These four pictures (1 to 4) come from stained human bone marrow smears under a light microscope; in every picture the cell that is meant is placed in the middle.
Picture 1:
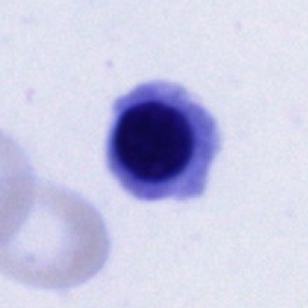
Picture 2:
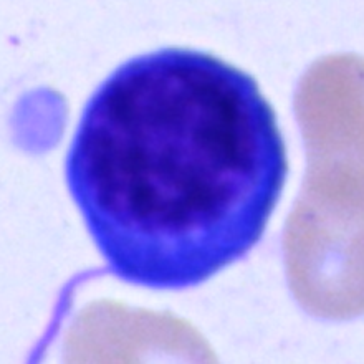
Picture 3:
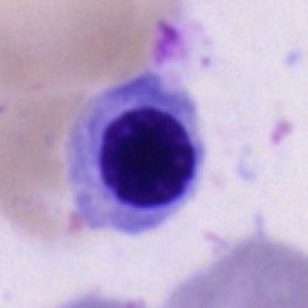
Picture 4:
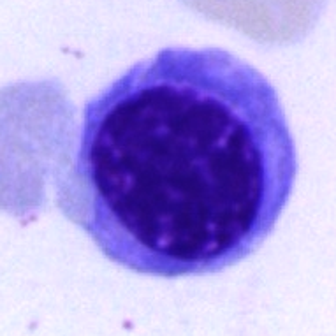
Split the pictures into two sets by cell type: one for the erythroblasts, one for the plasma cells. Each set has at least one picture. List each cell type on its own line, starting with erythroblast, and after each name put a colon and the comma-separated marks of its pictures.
erythroblast: 1, 3, 4
plasma cell: 2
